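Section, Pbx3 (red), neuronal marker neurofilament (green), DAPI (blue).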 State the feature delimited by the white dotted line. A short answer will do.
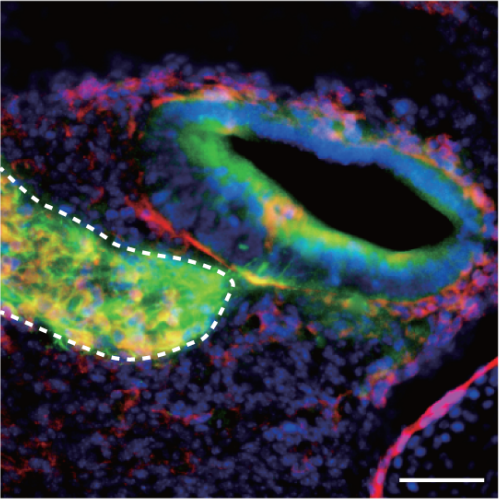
inner ear ganglia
